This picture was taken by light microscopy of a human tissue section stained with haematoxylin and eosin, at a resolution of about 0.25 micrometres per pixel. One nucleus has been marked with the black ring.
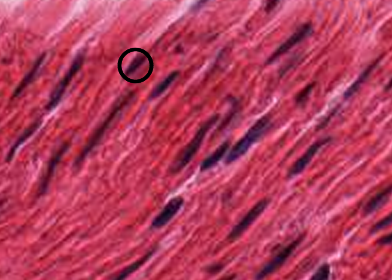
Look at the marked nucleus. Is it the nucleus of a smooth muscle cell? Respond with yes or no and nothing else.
yes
